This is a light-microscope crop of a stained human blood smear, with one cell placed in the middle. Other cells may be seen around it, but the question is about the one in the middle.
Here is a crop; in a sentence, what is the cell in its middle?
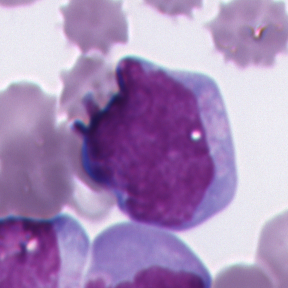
For this crop, the cell in the middle is a myeloblast.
